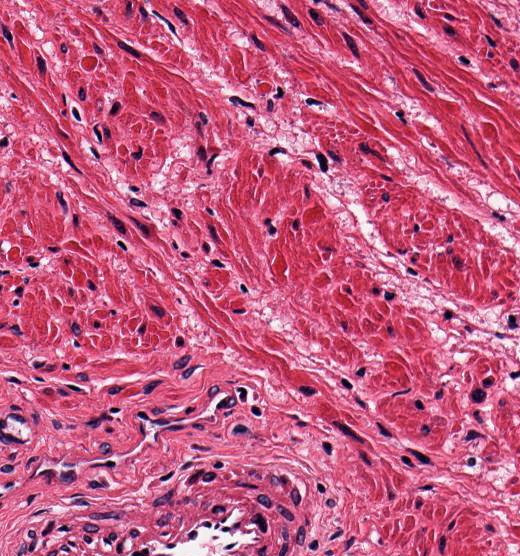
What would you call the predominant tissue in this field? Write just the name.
fibromuscular stroma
